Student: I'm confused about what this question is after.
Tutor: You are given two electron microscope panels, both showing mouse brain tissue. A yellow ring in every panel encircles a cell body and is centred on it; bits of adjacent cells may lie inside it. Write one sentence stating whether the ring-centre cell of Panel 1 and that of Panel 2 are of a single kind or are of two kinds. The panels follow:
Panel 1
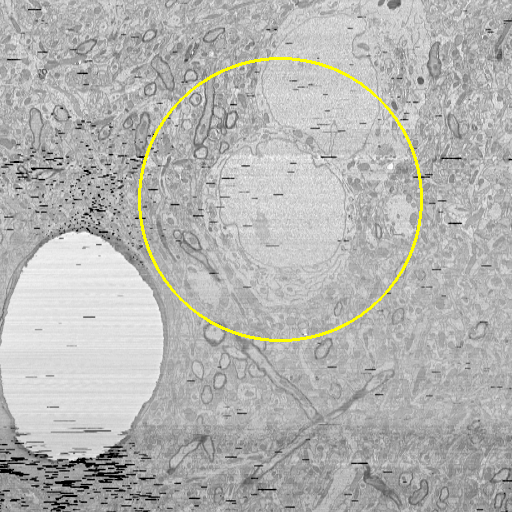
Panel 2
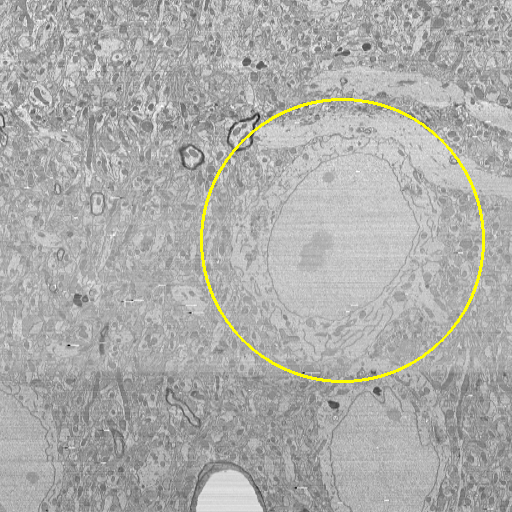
Here, the Panel 1 ring-centre cell and the Panel 2 ring-centre cell are of two kinds.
